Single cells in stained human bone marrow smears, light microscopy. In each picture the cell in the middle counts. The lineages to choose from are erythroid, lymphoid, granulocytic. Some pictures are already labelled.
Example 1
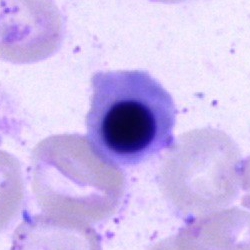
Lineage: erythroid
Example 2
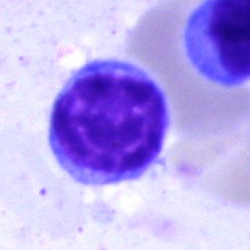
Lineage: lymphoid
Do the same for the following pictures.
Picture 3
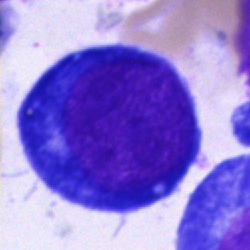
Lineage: erythroid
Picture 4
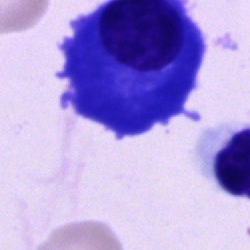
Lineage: lymphoid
